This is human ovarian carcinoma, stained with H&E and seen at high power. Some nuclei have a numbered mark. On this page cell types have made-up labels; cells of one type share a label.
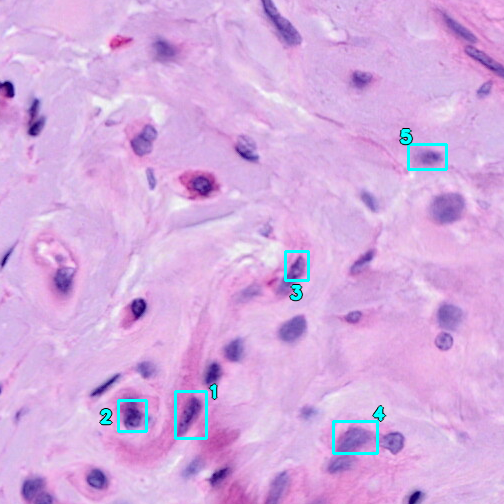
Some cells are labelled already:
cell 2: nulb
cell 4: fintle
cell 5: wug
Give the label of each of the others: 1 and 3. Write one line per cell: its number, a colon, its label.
1: fintle
3: nulb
